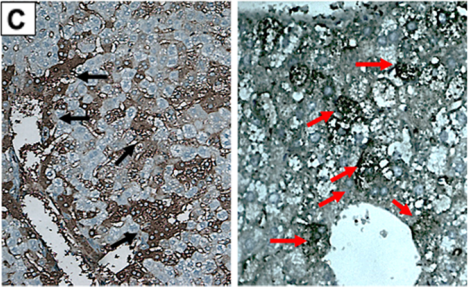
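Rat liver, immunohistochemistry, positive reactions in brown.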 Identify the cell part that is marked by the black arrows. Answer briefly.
cytoplasm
